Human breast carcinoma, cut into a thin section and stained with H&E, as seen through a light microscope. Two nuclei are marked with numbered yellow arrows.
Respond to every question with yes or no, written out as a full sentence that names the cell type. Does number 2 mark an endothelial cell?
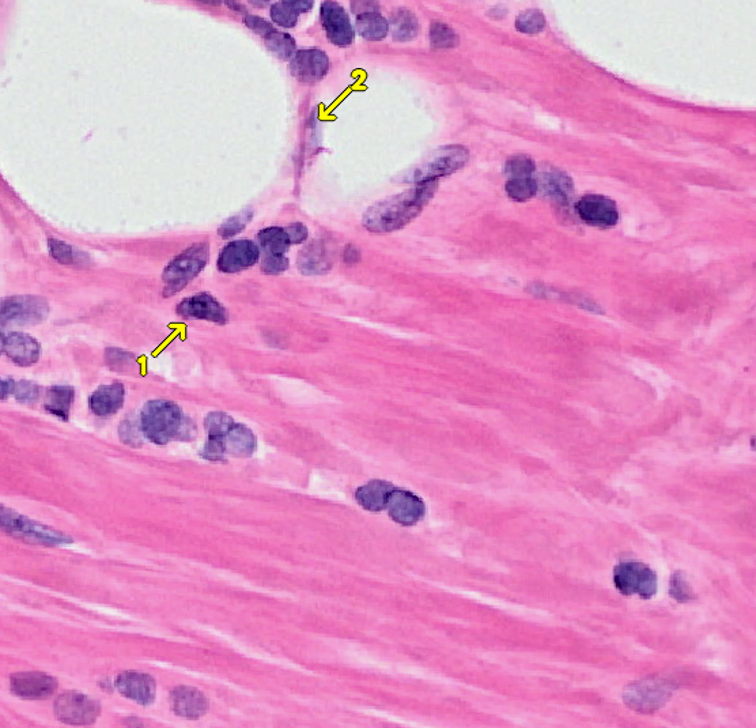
Yes, the cell carrying number 2 is an endothelial cell.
